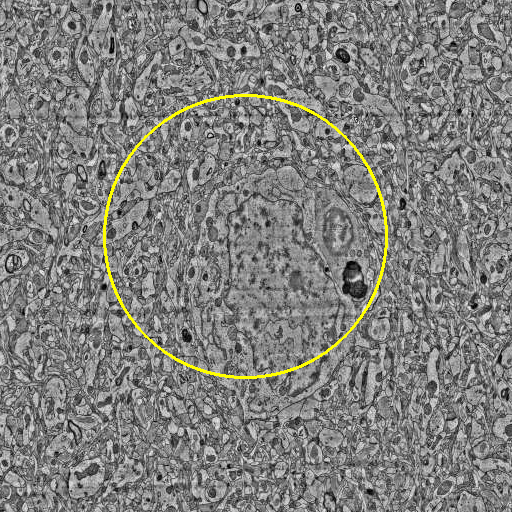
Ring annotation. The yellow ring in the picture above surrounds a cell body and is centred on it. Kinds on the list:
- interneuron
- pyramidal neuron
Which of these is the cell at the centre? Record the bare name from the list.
interneuron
